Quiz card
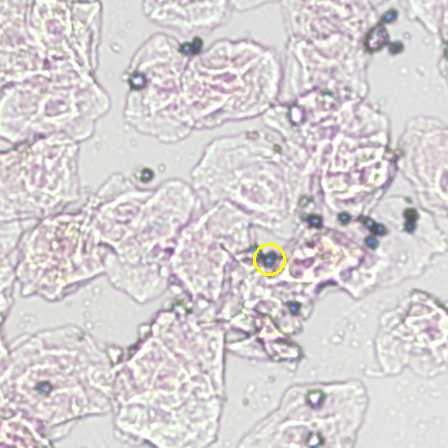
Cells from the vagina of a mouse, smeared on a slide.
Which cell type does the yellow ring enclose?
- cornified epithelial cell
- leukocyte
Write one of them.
leukocyte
